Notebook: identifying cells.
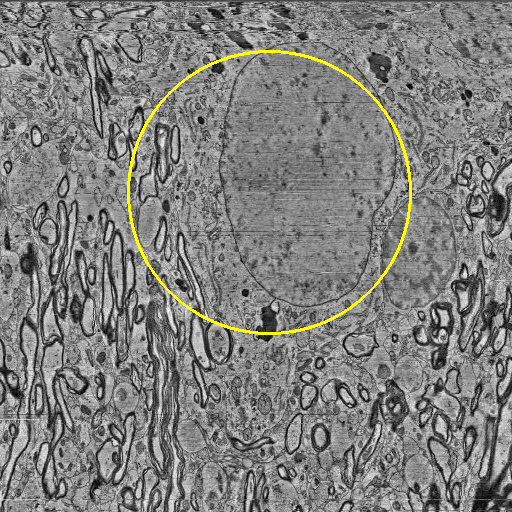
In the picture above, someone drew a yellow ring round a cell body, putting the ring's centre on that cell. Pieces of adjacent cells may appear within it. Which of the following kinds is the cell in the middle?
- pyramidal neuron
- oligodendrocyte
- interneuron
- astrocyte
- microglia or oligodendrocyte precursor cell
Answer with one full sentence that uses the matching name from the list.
In this picture, the yellow ring is centred on the body of a pyramidal neuron.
